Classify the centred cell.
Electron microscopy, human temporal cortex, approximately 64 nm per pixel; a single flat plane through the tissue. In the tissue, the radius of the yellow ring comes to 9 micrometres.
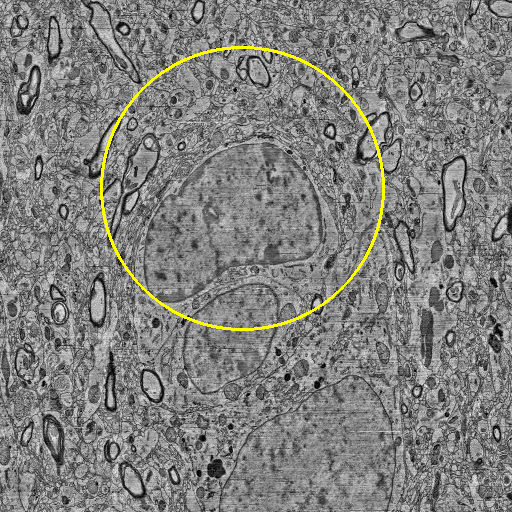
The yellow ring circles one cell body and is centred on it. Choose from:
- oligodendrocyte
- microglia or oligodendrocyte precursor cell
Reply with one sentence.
The ring is centred on a microglial cell or oligodendrocyte precursor cell.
